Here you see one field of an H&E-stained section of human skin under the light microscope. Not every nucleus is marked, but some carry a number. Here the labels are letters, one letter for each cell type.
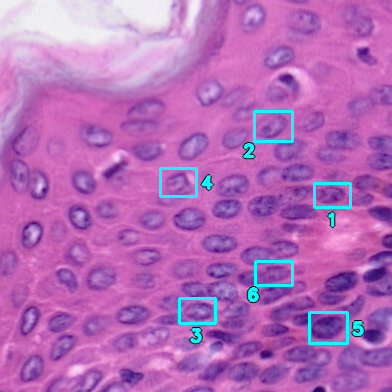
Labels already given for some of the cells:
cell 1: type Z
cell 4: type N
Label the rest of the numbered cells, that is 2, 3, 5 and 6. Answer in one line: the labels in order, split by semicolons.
type N; type N; type Z; type Z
